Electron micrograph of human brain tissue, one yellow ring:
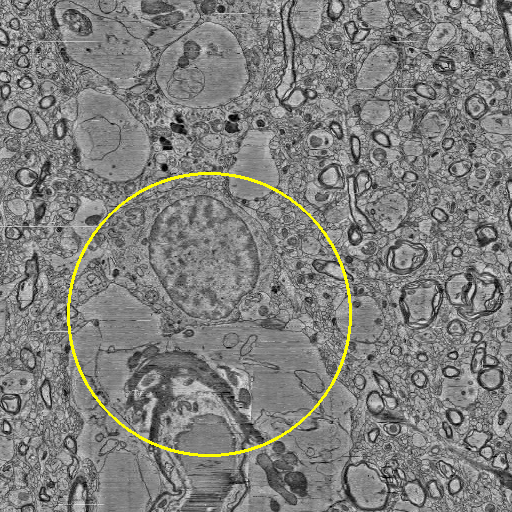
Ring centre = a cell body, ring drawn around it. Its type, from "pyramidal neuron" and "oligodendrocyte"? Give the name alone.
oligodendrocyte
